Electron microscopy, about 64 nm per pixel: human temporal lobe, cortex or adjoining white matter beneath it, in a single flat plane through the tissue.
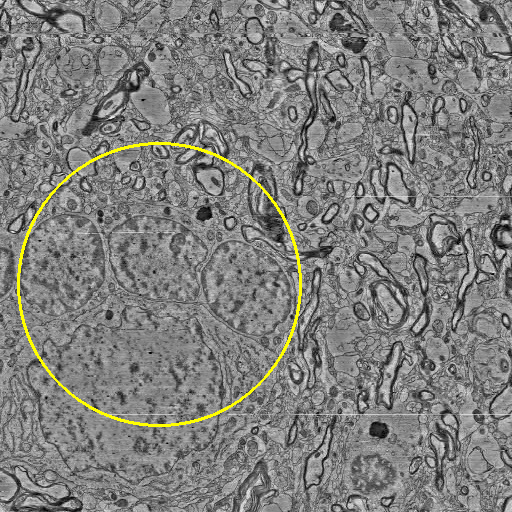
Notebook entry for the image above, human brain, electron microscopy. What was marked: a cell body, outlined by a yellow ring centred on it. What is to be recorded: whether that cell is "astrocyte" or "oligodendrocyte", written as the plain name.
oligodendrocyte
